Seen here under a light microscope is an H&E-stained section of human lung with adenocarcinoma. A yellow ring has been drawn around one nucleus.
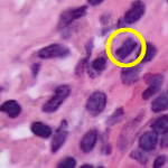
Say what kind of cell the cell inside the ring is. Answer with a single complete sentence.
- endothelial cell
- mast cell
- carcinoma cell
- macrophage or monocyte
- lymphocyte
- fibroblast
It is a lymphocyte that the cell inside the ring represents.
